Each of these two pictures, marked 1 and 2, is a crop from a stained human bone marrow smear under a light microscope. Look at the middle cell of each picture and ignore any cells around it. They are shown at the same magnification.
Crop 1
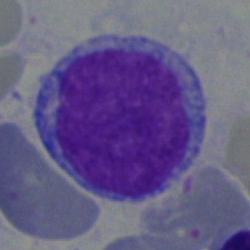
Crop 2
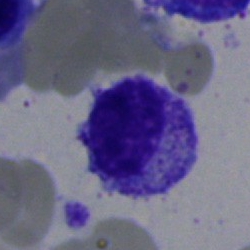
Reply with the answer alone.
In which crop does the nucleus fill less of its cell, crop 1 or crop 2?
2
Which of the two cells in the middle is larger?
1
